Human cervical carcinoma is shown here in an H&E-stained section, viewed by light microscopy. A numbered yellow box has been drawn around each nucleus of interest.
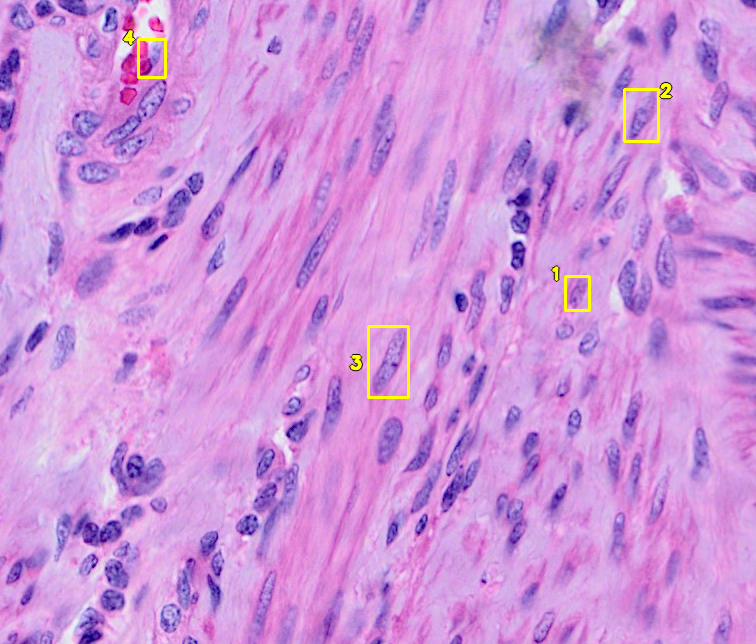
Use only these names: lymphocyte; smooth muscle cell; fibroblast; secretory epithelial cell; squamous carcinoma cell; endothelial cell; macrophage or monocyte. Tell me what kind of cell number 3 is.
smooth muscle cell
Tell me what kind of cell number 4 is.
endothelial cell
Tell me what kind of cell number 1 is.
smooth muscle cell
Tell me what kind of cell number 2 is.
smooth muscle cell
